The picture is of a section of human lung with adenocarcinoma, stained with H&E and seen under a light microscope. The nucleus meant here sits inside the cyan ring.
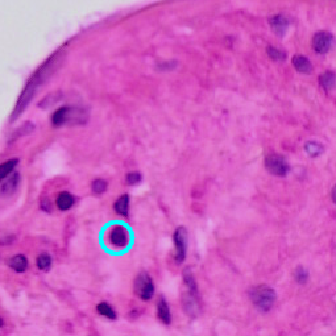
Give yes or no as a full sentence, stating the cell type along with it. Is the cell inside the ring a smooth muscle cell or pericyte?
Yes, that is right: the cell inside the ring is a smooth muscle cell or pericyte.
